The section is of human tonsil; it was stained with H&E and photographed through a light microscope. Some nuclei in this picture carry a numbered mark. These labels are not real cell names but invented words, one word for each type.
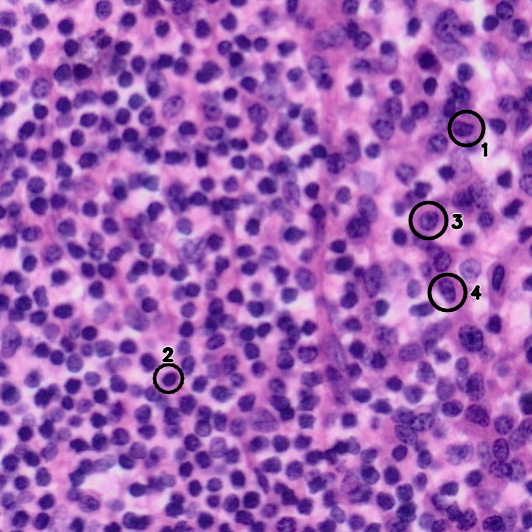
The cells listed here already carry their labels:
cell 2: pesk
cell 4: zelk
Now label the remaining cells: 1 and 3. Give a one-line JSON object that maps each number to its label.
{"1": "zelk", "3": "zelk"}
